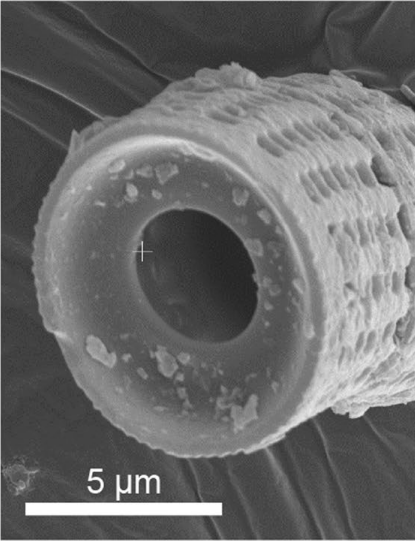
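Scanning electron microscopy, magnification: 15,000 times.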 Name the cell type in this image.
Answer: Diatom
